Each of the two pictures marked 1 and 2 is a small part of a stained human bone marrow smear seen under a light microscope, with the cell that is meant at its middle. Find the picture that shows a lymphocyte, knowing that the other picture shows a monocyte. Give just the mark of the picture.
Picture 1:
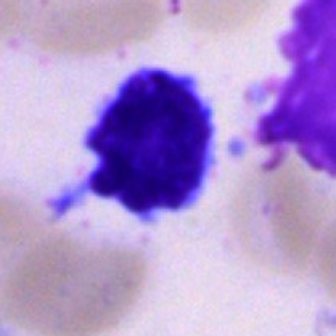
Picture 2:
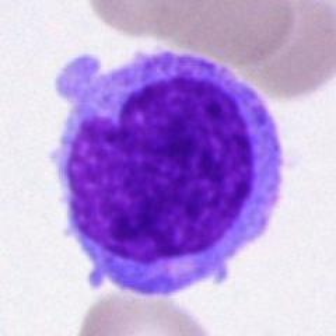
1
